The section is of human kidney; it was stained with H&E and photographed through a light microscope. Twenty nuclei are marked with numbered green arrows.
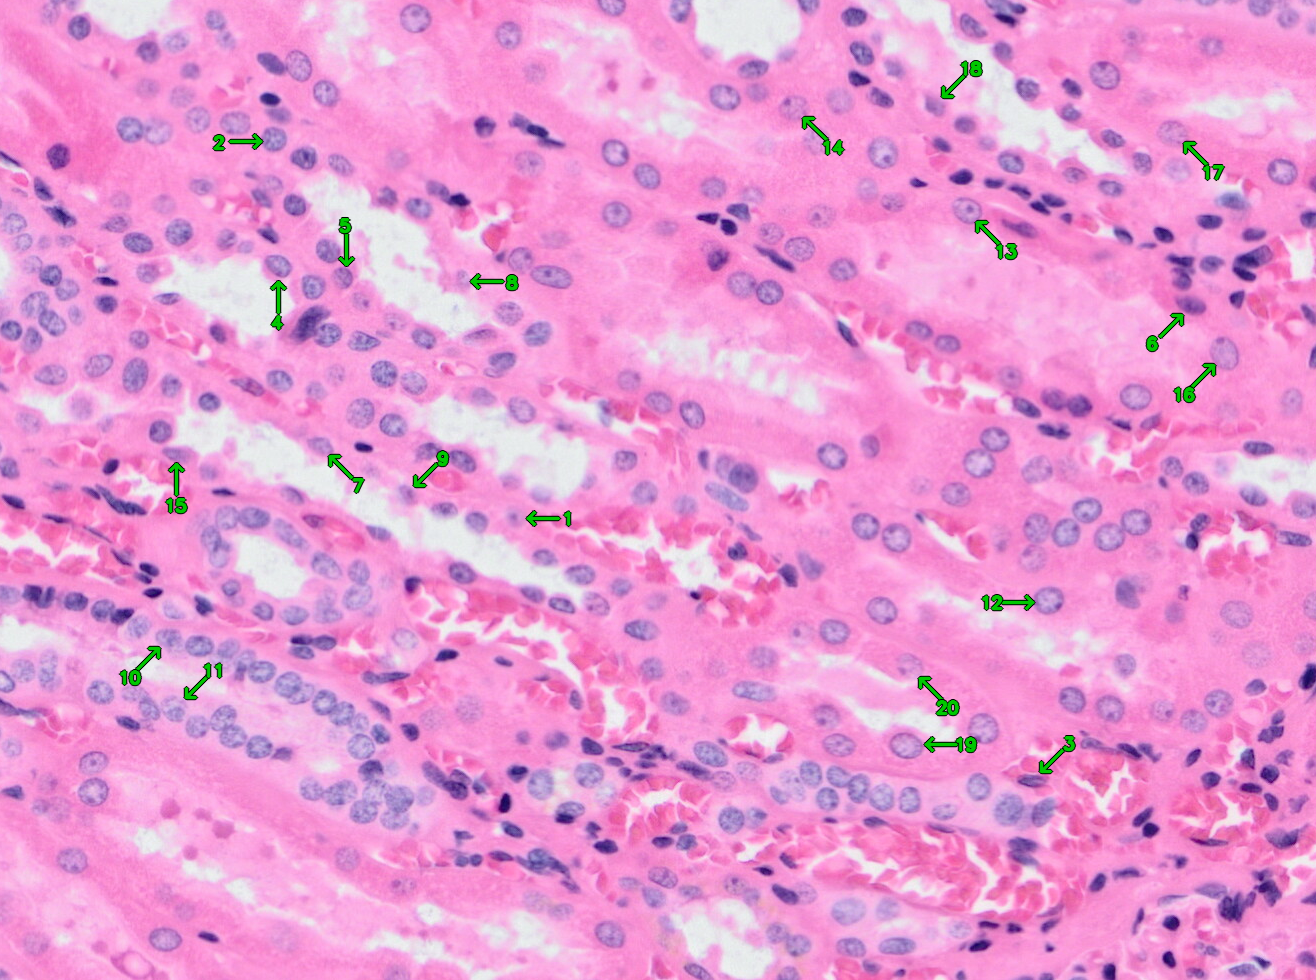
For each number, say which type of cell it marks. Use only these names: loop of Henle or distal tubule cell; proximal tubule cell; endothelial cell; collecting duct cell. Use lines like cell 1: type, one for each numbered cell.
cell 1: loop of Henle or distal tubule cell
cell 2: loop of Henle or distal tubule cell
cell 3: endothelial cell
cell 4: loop of Henle or distal tubule cell
cell 5: loop of Henle or distal tubule cell
cell 6: proximal tubule cell
cell 7: loop of Henle or distal tubule cell
cell 8: loop of Henle or distal tubule cell
cell 9: loop of Henle or distal tubule cell
cell 10: collecting duct cell
cell 11: collecting duct cell
cell 12: proximal tubule cell
cell 13: proximal tubule cell
cell 14: proximal tubule cell
cell 15: loop of Henle or distal tubule cell
cell 16: proximal tubule cell
cell 17: proximal tubule cell
cell 18: loop of Henle or distal tubule cell
cell 19: proximal tubule cell
cell 20: proximal tubule cell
